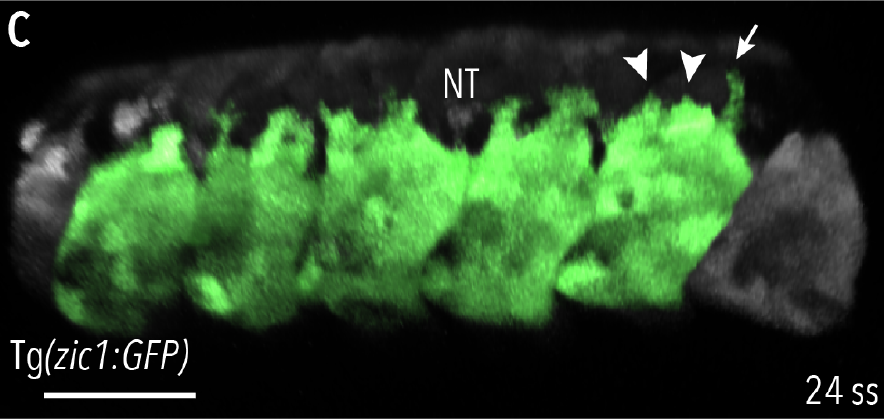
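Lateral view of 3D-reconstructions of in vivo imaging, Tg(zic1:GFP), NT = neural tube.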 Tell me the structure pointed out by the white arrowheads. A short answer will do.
small protrusions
